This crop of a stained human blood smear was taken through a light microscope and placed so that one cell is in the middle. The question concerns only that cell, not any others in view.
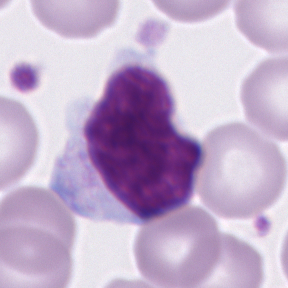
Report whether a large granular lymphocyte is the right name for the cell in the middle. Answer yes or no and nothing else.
yes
